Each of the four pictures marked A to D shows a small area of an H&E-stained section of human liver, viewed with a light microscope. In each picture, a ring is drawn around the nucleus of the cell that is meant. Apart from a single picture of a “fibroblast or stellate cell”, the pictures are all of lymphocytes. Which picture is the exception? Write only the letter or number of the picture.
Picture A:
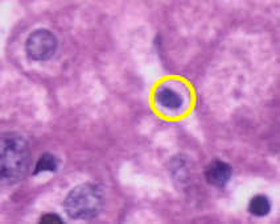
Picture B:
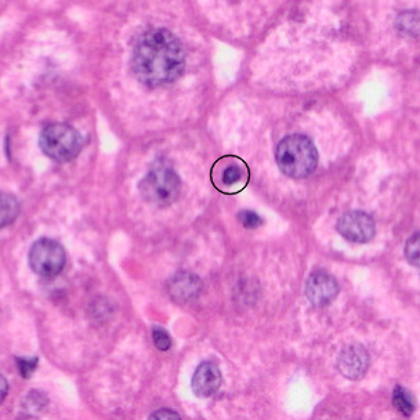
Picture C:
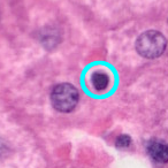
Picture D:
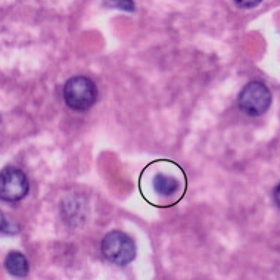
B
